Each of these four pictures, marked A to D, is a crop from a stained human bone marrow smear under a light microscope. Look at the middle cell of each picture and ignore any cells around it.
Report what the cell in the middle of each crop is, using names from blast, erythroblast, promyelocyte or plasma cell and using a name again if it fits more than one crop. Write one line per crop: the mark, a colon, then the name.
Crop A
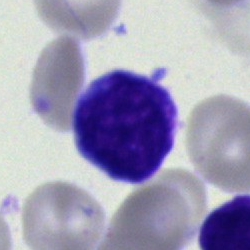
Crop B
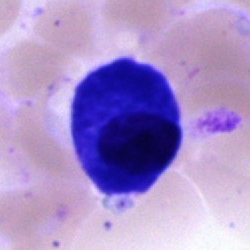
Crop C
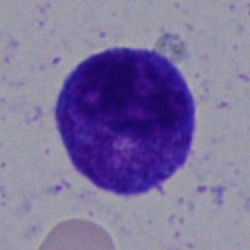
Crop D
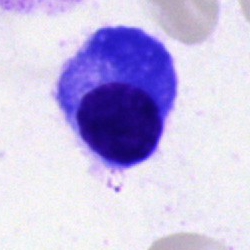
A: blast
B: plasma cell
C: promyelocyte
D: plasma cell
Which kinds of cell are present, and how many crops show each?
plasma cell: 2
blast: 1
promyelocyte: 1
